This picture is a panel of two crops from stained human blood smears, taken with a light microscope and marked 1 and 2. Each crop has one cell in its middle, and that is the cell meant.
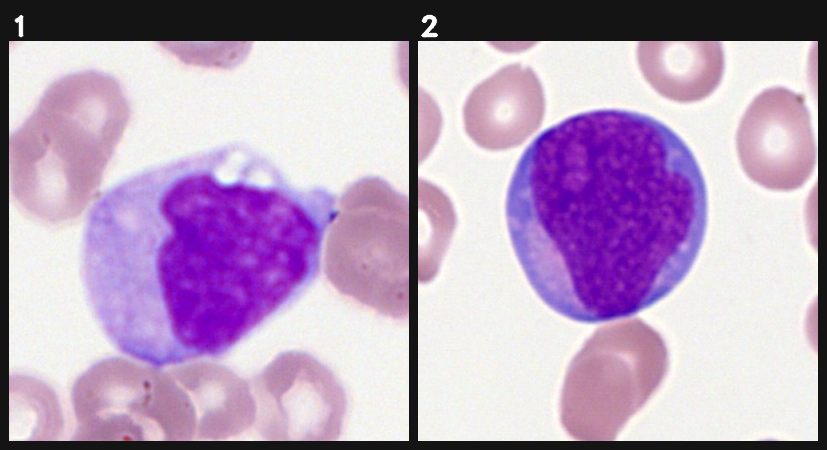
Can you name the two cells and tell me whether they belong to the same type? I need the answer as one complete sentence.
No, in crop 2 the central cell is a blast, and in crop 1 it is a monocyte.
